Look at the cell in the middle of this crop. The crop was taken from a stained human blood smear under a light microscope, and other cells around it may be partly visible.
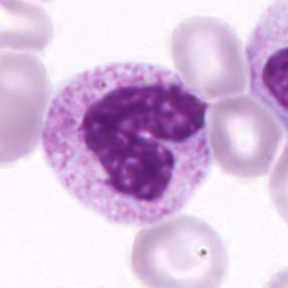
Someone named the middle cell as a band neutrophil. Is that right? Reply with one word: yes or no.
yes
